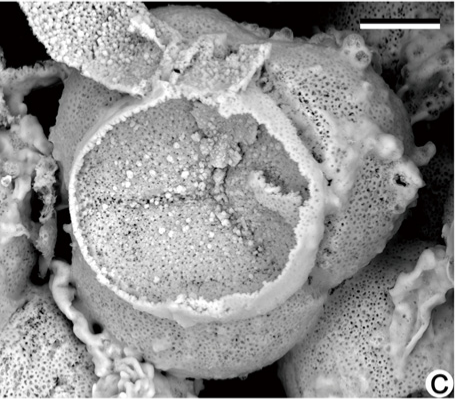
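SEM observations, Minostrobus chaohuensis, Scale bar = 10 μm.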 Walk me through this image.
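Scanning electron view of a tetrad of microspores in which the outer wall of the front spore has broken away. A raised smooth rim encircles the opening and exposes an inner surface. A faint Y-shaped line crosses the exposed inner surface. The other spores of the cluster behind it keep their intact, finely pitted outer surface. Crumpled fragments of thin wall material lie around the tetrad.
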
